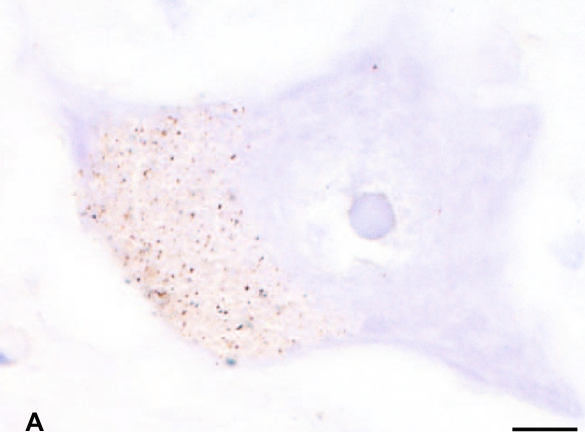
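A single very large, angular nerve cell body fills the view, with broad tapering extensions and a round central nucleus holding a prominent nucleolus. One side of its cytoplasm is occupied by a pale yellow-brown granular mass in which fine dark grains are scattered, while the remaining cytoplasm is pale blue-grey and free of grains.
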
